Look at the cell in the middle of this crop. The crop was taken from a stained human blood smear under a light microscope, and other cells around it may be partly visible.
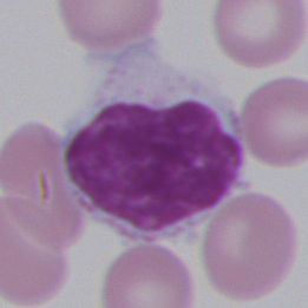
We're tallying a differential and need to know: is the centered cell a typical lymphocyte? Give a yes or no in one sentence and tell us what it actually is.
No, the cell found centrally in the crop is a large granular lymphocyte, not a typical lymphocyte.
